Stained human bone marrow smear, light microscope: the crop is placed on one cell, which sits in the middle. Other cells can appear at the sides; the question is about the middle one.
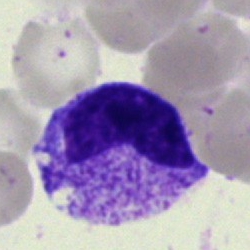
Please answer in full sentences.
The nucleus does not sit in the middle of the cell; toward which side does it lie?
The nucleus sits off-centre, toward the top.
